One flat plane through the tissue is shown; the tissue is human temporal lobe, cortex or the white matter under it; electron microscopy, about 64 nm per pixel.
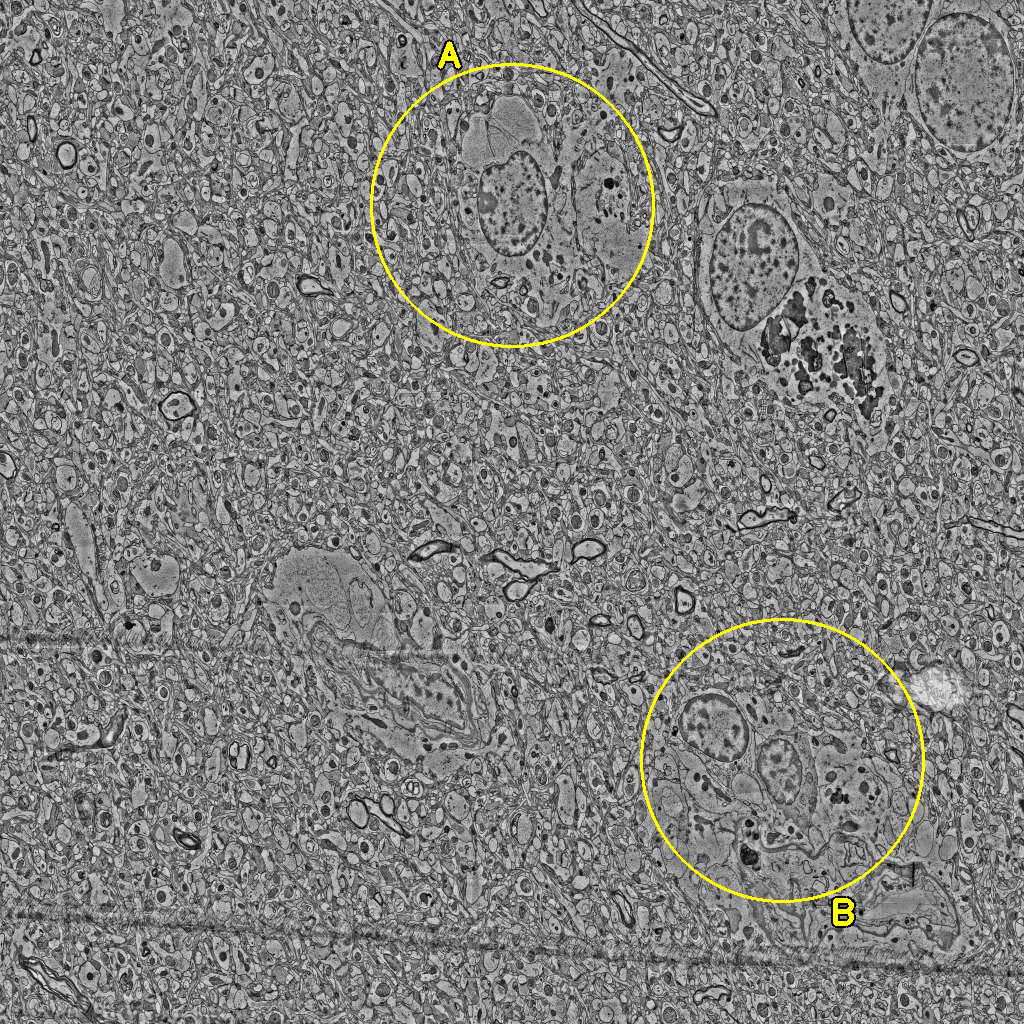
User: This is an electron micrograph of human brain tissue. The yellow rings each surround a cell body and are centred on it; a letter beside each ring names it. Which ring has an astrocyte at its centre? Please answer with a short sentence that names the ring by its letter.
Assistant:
Ring A has it at its centre.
